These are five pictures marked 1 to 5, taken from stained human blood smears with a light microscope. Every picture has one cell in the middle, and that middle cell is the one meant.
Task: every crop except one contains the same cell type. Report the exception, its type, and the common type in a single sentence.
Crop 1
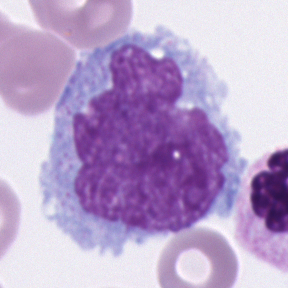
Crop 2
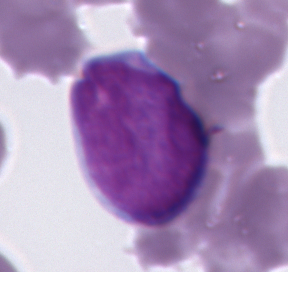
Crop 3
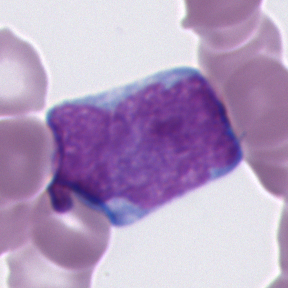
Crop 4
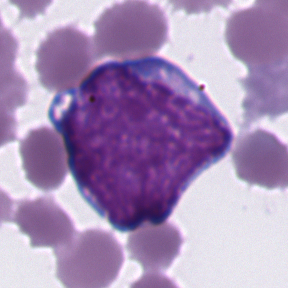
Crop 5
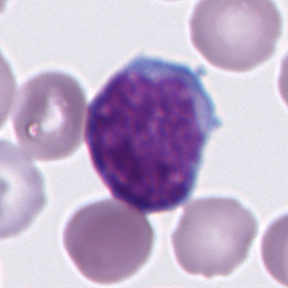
Crop 1 is the sole crop with a monocyte; the others all have myeloblasts.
